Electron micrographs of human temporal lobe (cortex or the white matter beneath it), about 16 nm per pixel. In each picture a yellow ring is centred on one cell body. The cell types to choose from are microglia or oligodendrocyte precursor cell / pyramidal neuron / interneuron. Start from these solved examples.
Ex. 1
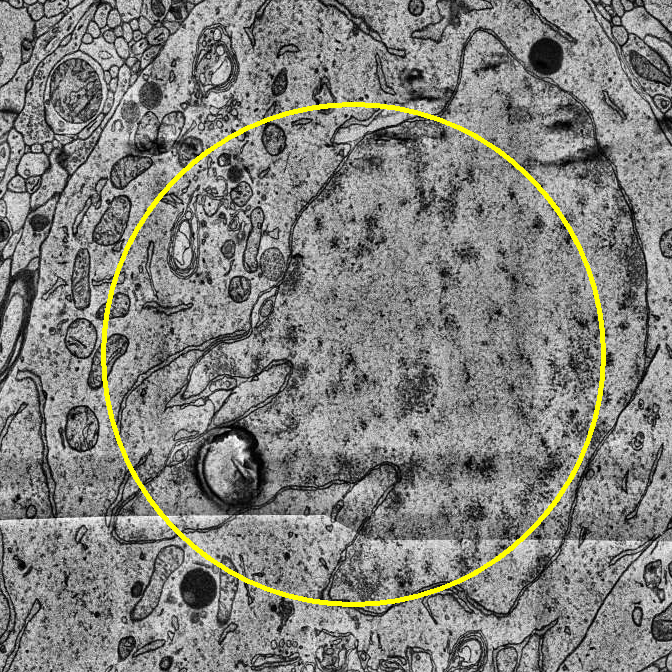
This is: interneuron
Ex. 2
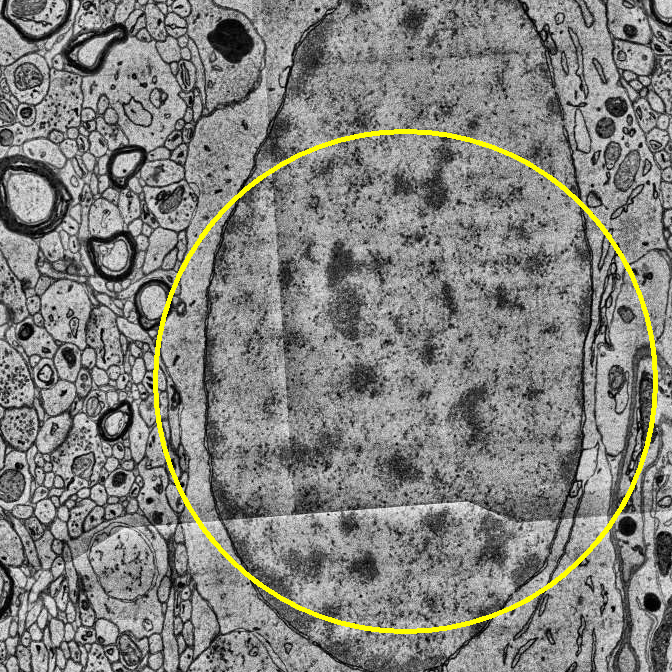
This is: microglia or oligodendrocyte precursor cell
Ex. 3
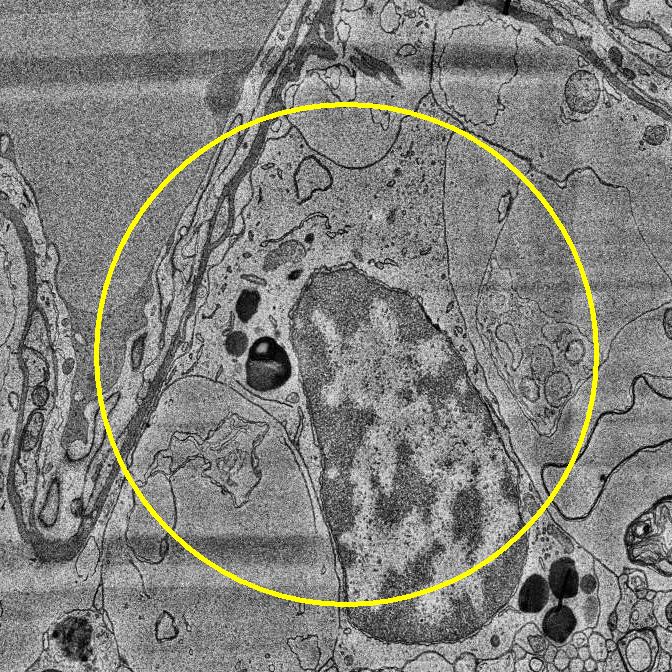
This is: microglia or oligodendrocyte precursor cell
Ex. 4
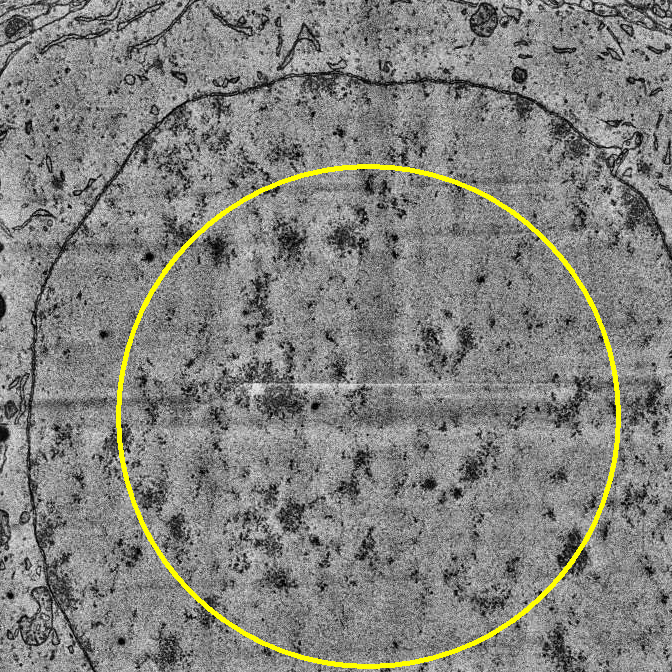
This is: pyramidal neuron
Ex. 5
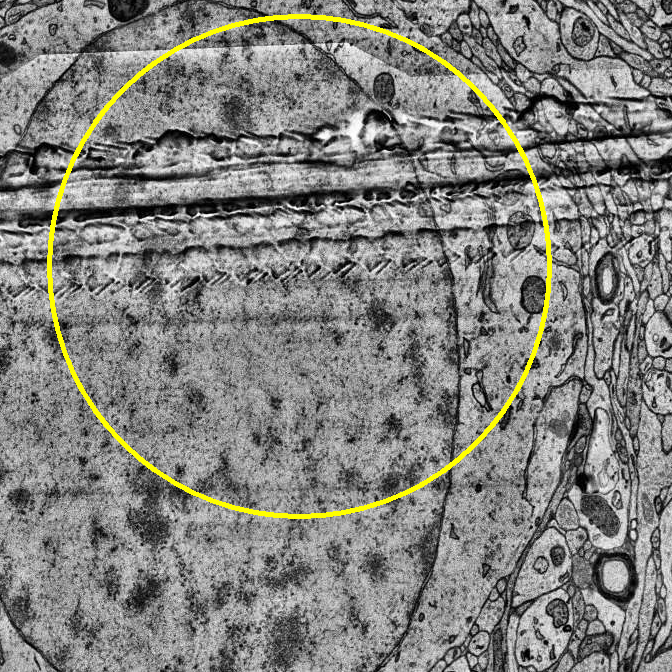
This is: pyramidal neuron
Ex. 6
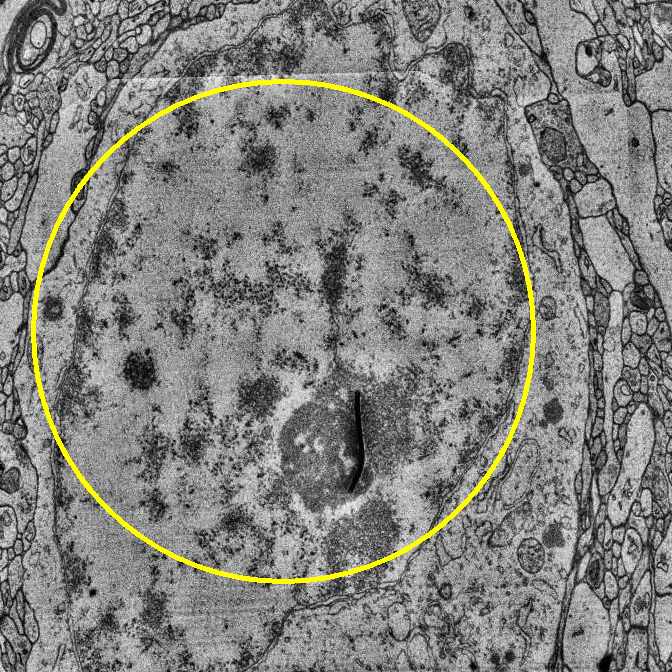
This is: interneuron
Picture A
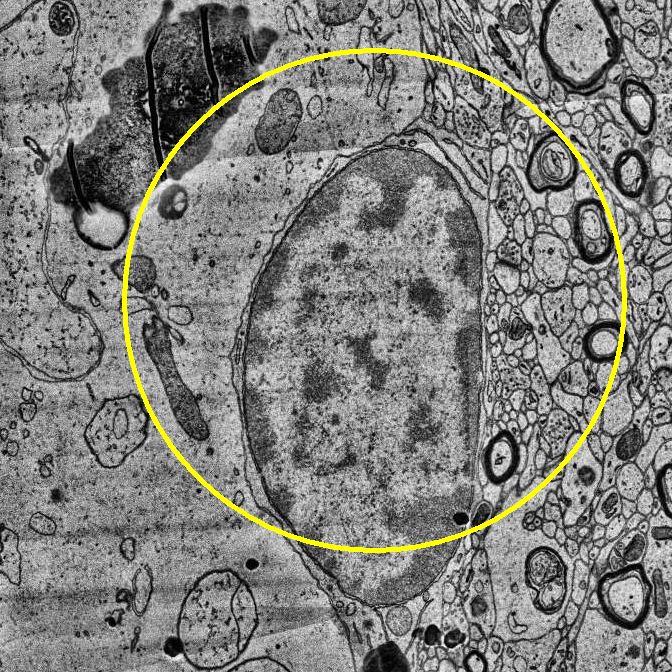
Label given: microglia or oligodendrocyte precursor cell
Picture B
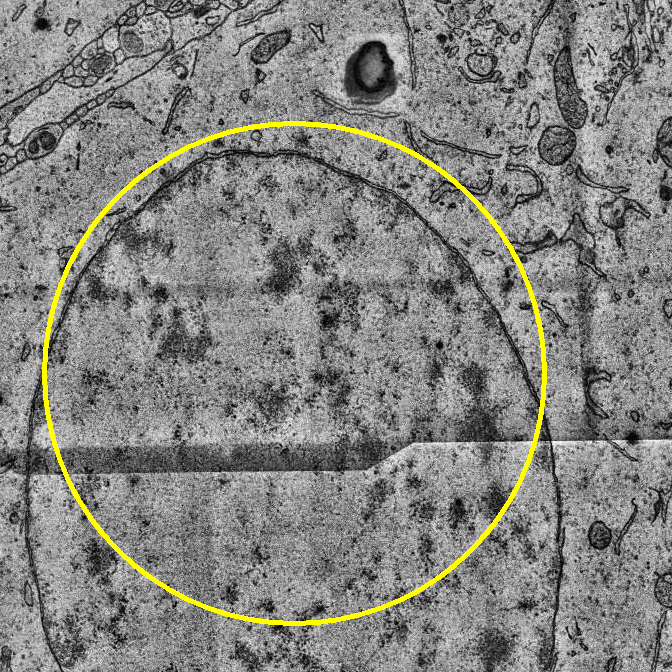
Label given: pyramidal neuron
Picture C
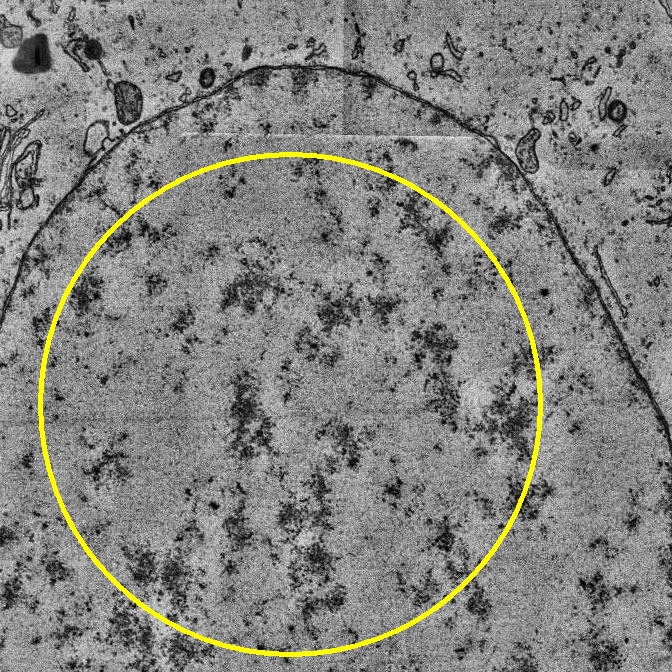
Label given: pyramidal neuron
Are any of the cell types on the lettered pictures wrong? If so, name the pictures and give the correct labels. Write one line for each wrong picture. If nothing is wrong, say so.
All labels are correct.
